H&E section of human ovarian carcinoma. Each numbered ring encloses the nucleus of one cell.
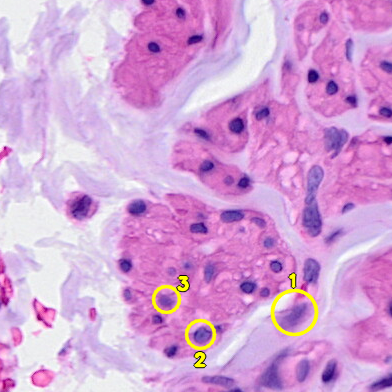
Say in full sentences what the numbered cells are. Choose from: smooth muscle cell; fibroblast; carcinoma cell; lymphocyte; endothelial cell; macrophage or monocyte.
Cell 1 is an endothelial cell. Cells 2 and 3 are smooth muscle cells.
